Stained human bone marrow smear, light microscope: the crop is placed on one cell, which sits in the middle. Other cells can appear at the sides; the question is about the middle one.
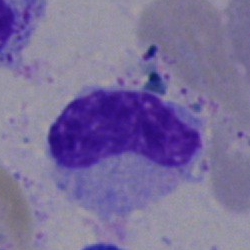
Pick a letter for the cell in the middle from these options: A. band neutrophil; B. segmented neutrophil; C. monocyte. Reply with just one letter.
A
